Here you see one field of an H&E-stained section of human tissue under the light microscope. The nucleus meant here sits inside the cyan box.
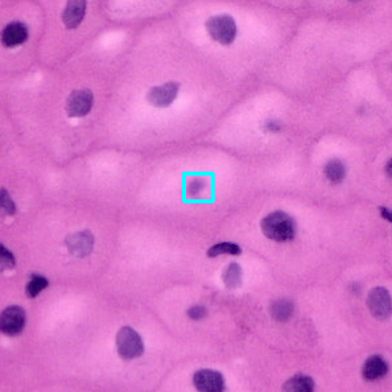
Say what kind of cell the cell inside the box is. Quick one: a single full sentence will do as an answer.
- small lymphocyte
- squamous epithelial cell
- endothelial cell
In this tissue sample, the cell inside the box is a squamous epithelial cell.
